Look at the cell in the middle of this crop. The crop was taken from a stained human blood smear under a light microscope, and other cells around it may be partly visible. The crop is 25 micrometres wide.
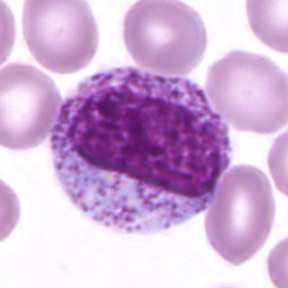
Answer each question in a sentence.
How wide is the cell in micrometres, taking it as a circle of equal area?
Taken as a circle, the cell has a diameter of about 15 micrometres.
